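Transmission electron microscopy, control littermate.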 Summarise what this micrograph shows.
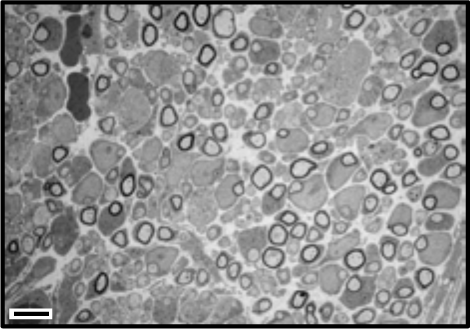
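Cross-section of a developing peripheral nerve in which only part of the axons are surrounded by thin dark rings of myelin. Many large pale round profiles without a dark ring lie among them, and the fibres are less tightly packed than in a mature nerve.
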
